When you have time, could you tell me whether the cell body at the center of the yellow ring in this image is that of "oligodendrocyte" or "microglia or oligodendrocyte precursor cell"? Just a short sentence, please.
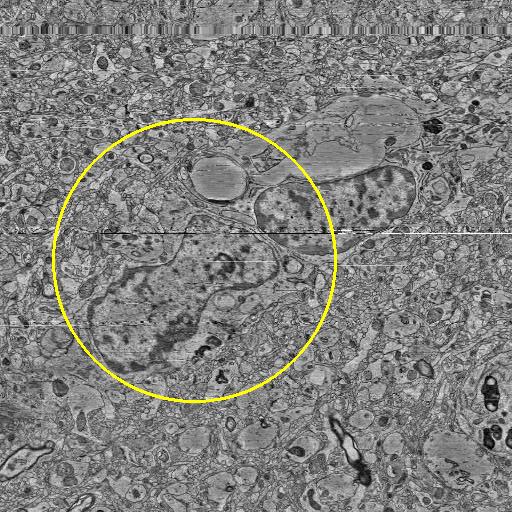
The cell body at the center of the ring is that of a microglial cell or oligodendrocyte precursor cell.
